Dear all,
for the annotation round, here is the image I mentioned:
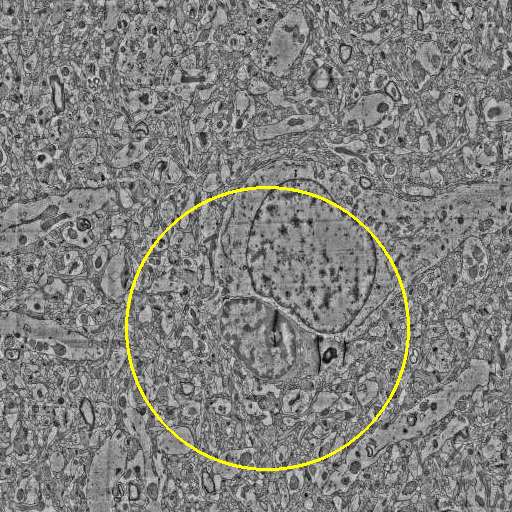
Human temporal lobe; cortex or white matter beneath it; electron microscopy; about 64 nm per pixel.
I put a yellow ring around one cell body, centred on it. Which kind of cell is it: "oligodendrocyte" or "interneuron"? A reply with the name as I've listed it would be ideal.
oligodendrocyte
